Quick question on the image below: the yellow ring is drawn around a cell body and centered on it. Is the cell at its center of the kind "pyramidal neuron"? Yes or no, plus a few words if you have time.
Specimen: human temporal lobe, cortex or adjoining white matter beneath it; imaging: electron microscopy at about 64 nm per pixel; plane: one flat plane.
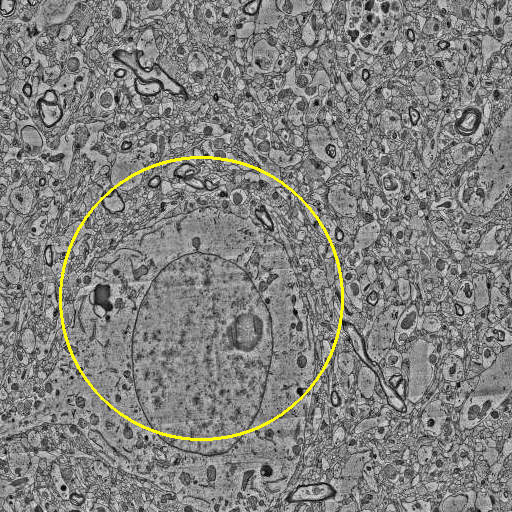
Yes, the cell at the center is of that kind.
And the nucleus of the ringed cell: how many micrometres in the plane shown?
In this plane, the nucleus of the cell at the centre of the ring measures about 13 by 9 micrometres.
